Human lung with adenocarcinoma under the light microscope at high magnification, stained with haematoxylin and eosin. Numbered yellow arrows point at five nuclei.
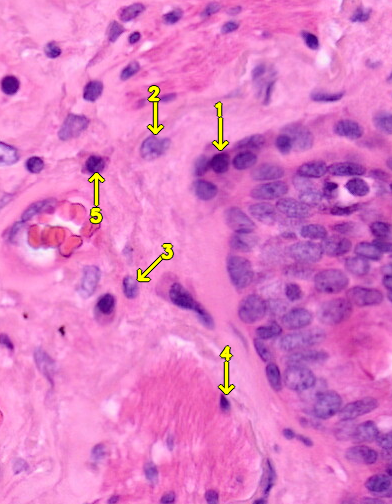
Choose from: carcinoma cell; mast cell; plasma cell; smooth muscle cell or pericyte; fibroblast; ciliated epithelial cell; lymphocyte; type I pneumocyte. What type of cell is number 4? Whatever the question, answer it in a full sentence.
The cell bearing label 4 corresponds to a smooth muscle cell or pericyte.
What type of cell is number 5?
In the tissue shown, cell 5 is a plasma cell.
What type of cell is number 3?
The marked cell with the number 3 is recognised as a mast cell.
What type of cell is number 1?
Cell 1, among those numbered, is a plasma cell.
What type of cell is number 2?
Cell 2, among those numbered, is a fibroblast.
